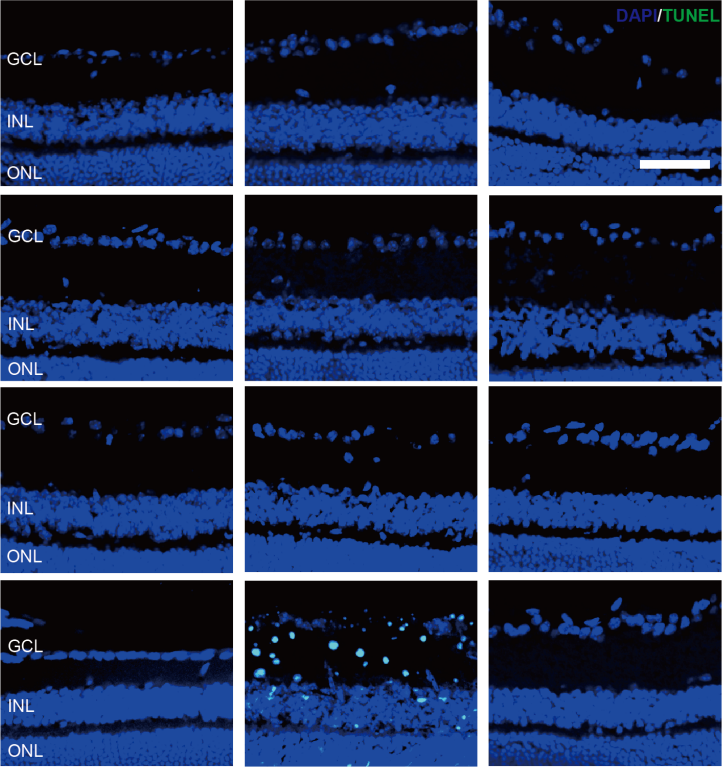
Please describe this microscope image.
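These are twelve cross-sections of retina with the nuclei stained blue. Each section shows the same layered arrangement. At the top is a sparse single row of scattered, roundish nuclei. Below it lies a dark band with few nuclei, then a thick, densely packed band of nuclei. A thin dark gap follows, and at the bottom is another tightly packed band of small nuclei. In one section, many nuclei in the top row and in the middle band glow bright green-cyan. That section's layers also look looser and more broken up than in the others. In the remaining sections there are no such bright nuclei.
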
